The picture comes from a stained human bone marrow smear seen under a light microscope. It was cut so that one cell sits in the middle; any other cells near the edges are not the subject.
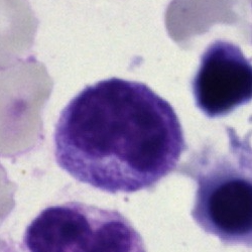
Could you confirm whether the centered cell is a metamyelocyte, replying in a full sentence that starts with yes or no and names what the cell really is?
Yes, the middle cell in this crop is a metamyelocyte.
